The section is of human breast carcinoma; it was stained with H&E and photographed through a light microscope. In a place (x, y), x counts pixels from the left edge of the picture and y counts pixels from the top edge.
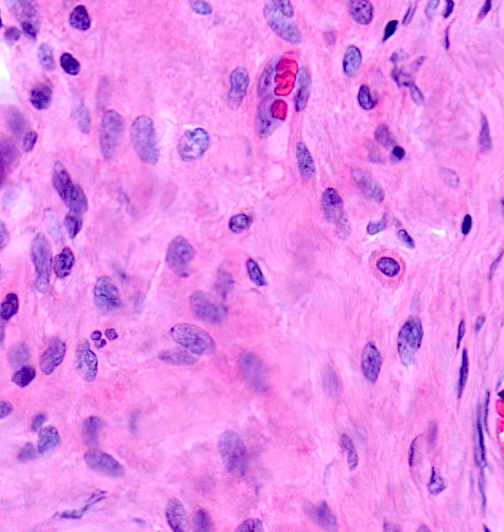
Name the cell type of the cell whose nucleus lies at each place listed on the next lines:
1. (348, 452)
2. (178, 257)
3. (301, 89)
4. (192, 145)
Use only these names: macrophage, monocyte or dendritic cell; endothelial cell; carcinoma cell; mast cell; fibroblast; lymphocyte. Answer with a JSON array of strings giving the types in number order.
["fibroblast", "fibroblast", "endothelial cell", "fibroblast"]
